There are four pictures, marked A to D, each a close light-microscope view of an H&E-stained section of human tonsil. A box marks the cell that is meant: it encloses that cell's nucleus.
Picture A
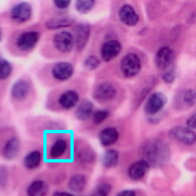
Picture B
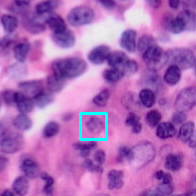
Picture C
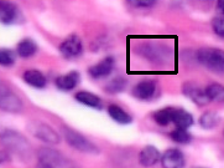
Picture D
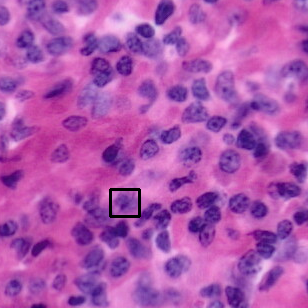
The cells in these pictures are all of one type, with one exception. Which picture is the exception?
A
